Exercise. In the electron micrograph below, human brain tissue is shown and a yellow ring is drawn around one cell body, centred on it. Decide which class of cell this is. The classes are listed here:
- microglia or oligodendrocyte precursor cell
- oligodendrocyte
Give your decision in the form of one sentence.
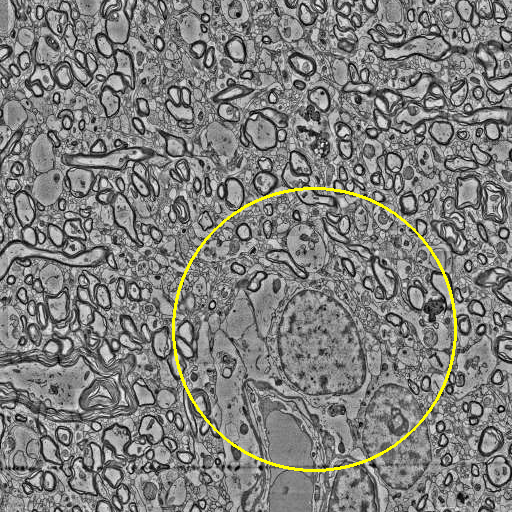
The cell body marked by the ring belongs to a microglial cell or oligodendrocyte precursor cell.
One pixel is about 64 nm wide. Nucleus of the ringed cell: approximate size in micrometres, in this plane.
The nucleus comes to roughly 7 by 6 micrometres in this plane.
